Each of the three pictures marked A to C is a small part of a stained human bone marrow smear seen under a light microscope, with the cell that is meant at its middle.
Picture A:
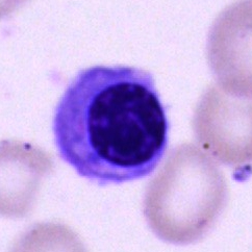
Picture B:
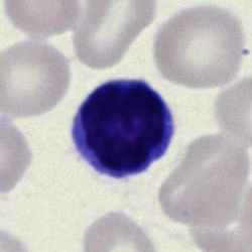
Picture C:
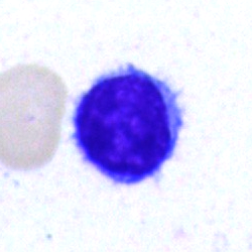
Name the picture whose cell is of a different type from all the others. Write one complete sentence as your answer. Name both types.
Picture A is the odd one out: it shows an erythroblast, while the others show lymphocytes.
